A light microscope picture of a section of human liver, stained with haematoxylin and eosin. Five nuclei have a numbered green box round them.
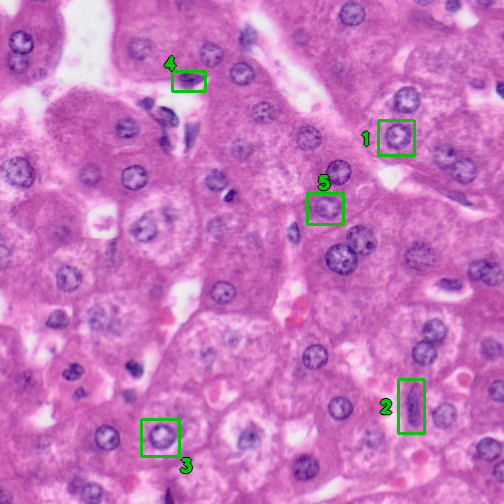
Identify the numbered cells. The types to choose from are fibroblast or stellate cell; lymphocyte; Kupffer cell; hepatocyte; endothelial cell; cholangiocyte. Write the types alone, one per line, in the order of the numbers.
hepatocyte
Kupffer cell
hepatocyte
fibroblast or stellate cell
hepatocyte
